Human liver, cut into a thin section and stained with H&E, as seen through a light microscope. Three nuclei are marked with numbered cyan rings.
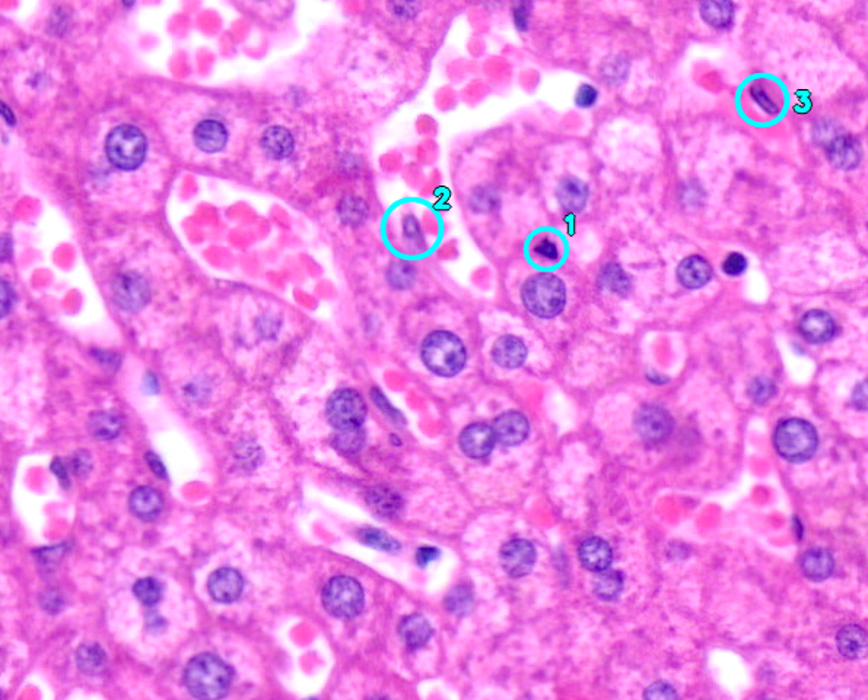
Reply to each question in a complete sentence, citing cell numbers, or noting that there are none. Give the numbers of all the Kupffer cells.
The numbered cell that is a Kupffer cell is cell 2, and it is the only one.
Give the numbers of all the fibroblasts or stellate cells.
Cell 1 is the one numbered cell that is a fibroblast or stellate cell.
